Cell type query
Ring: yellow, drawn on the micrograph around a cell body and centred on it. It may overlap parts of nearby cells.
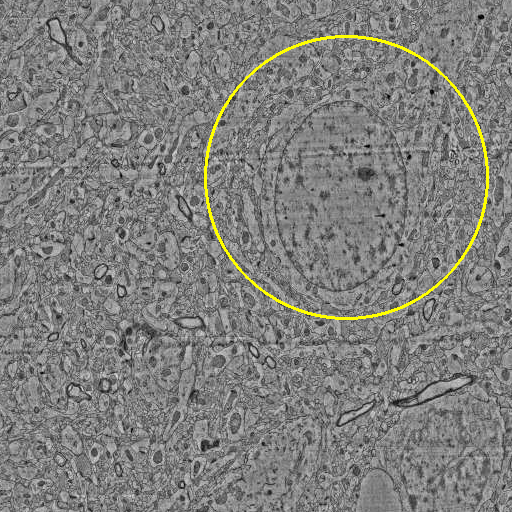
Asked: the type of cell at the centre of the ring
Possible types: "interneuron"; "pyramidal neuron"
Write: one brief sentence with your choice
The ring marks a pyramidal neuron.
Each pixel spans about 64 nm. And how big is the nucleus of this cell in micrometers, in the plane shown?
The nucleus appears roughly 12 by 8 micrometres in this plane.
